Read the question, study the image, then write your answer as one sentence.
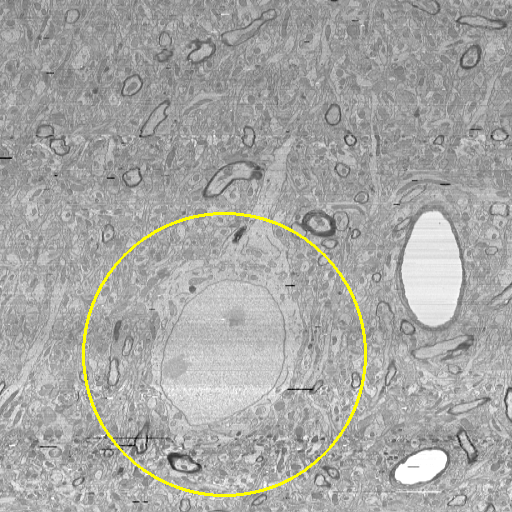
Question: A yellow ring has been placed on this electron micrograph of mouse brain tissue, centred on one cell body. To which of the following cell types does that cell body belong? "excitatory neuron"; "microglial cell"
That cell body belongs to an excitatory neuron.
